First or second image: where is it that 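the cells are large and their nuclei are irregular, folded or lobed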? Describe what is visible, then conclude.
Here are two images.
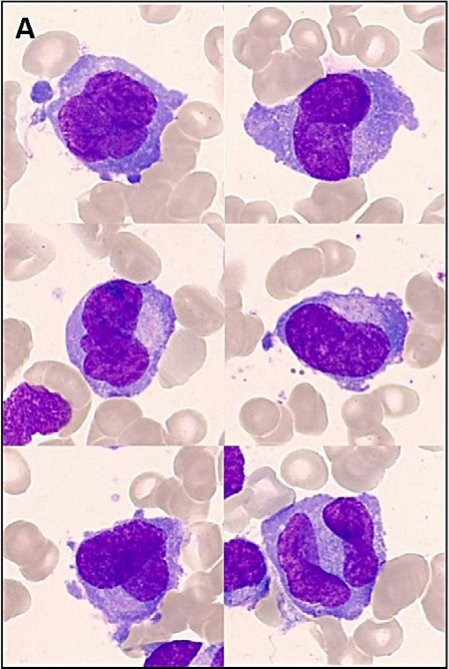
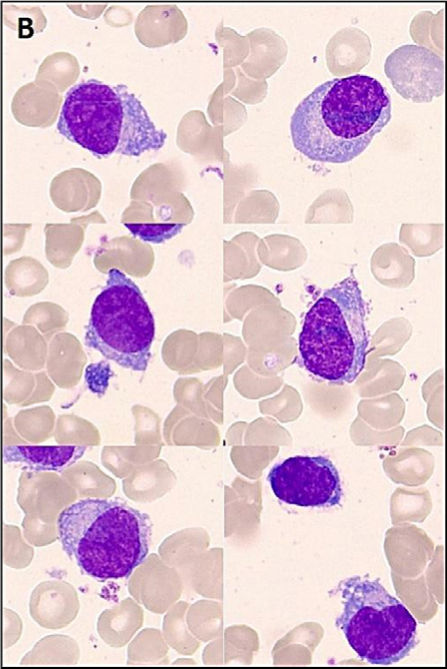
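Second image: smaller cells with round to oval, smoothly outlined nuclei. First image: large cells with indented, folded or bilobed nuclei. That points to this answer: the first image.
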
